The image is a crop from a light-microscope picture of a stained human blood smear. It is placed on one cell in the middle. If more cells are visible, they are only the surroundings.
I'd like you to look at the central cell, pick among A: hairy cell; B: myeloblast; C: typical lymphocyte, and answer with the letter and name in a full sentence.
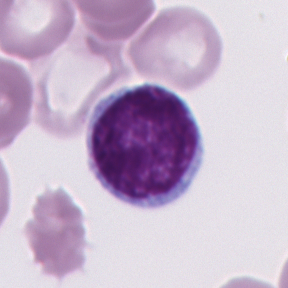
In the middle of the crop is a typical lymphocyte; option C is therefore correct.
